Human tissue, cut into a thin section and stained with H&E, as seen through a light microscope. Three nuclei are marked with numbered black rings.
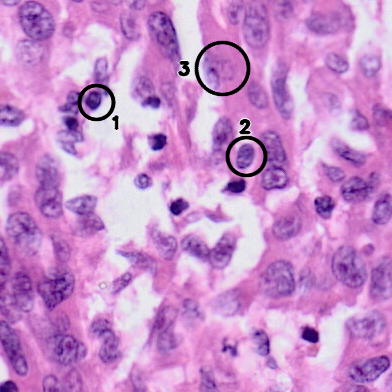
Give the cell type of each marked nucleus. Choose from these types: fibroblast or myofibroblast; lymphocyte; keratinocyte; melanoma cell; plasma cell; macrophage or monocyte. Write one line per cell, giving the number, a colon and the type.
1: lymphocyte
2: lymphocyte
3: melanoma cell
